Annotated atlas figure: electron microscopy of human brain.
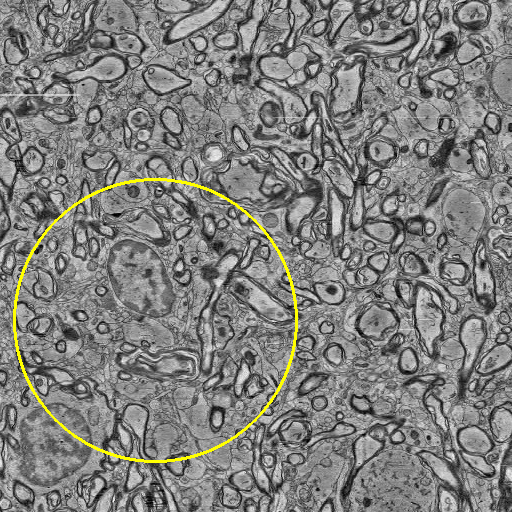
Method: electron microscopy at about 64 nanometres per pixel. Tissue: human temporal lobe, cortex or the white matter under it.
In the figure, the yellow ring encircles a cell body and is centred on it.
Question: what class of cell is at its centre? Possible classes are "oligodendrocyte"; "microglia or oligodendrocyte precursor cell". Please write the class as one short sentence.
The yellow ring is drawn around a microglial cell or oligodendrocyte precursor cell.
